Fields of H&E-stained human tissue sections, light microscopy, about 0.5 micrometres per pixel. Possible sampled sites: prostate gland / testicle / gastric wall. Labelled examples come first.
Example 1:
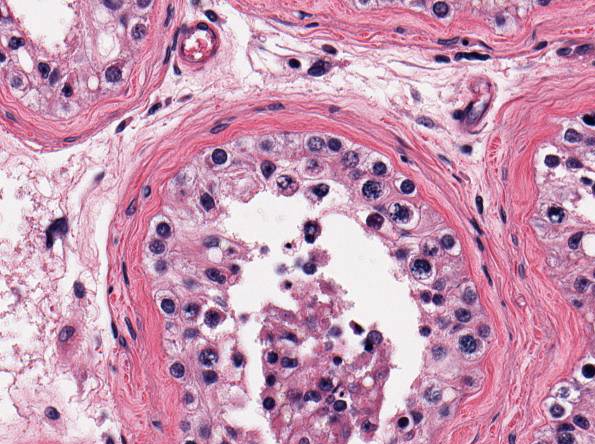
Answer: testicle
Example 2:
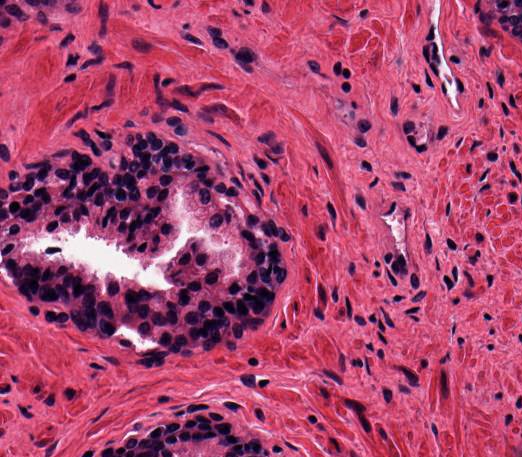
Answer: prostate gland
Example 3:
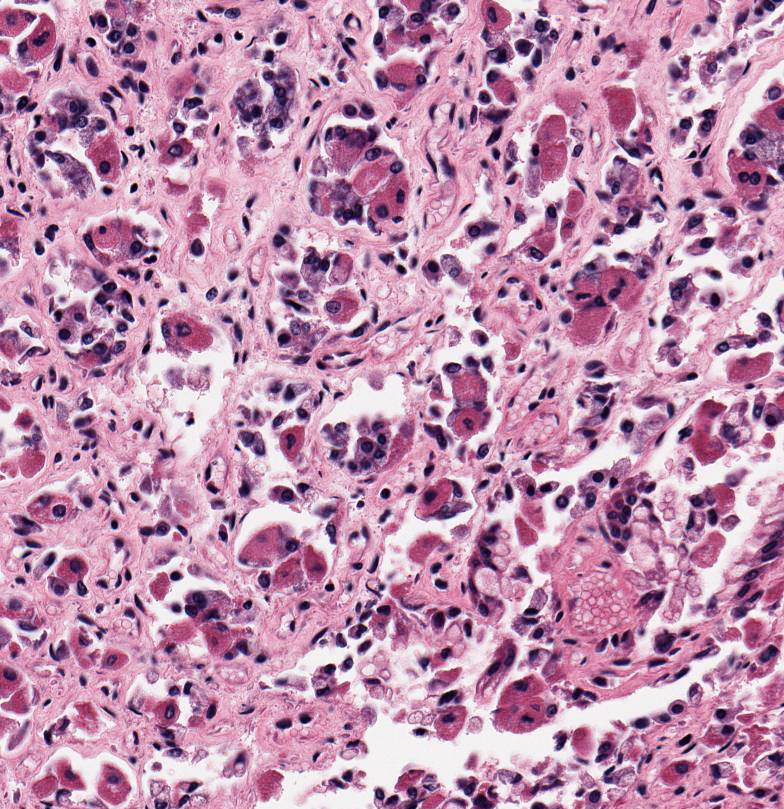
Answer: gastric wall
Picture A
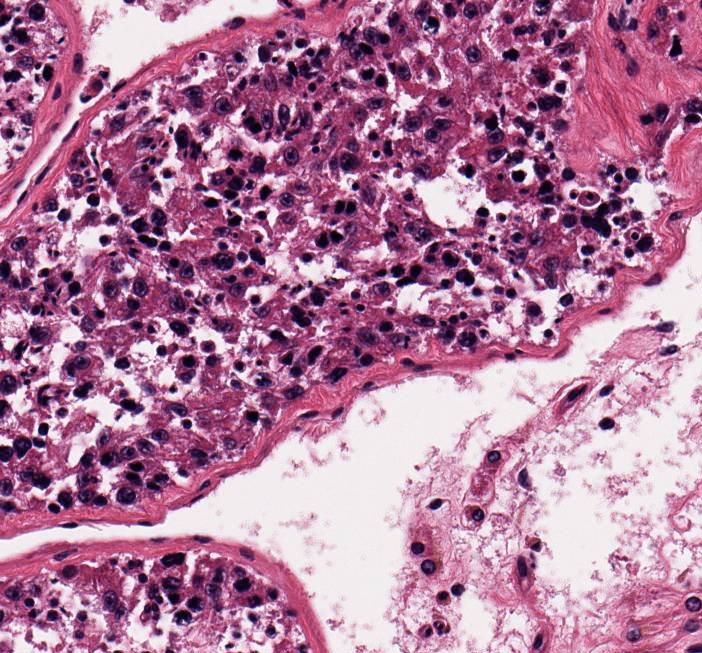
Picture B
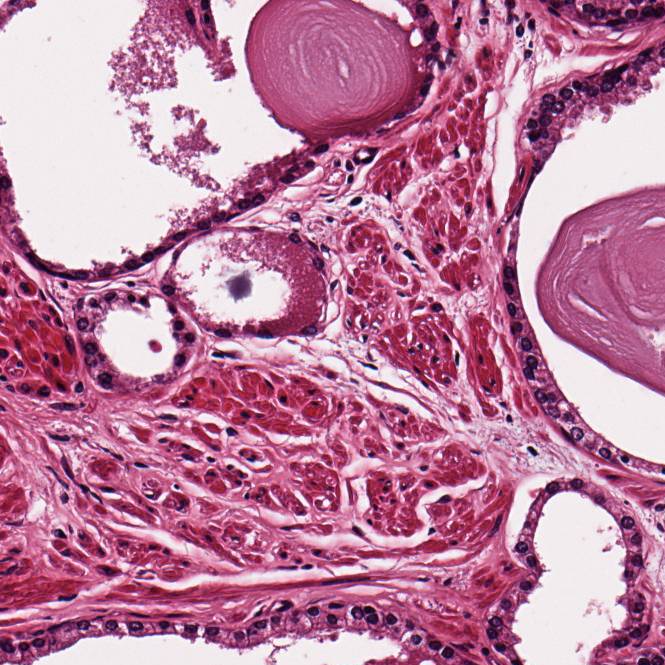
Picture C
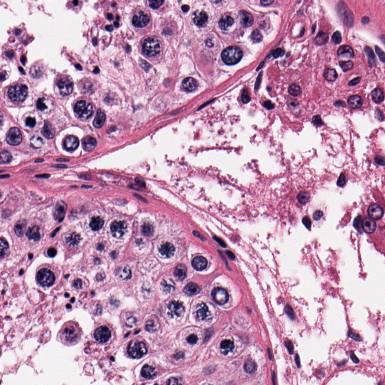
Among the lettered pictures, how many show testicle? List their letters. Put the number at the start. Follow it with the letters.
2, namely A, C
